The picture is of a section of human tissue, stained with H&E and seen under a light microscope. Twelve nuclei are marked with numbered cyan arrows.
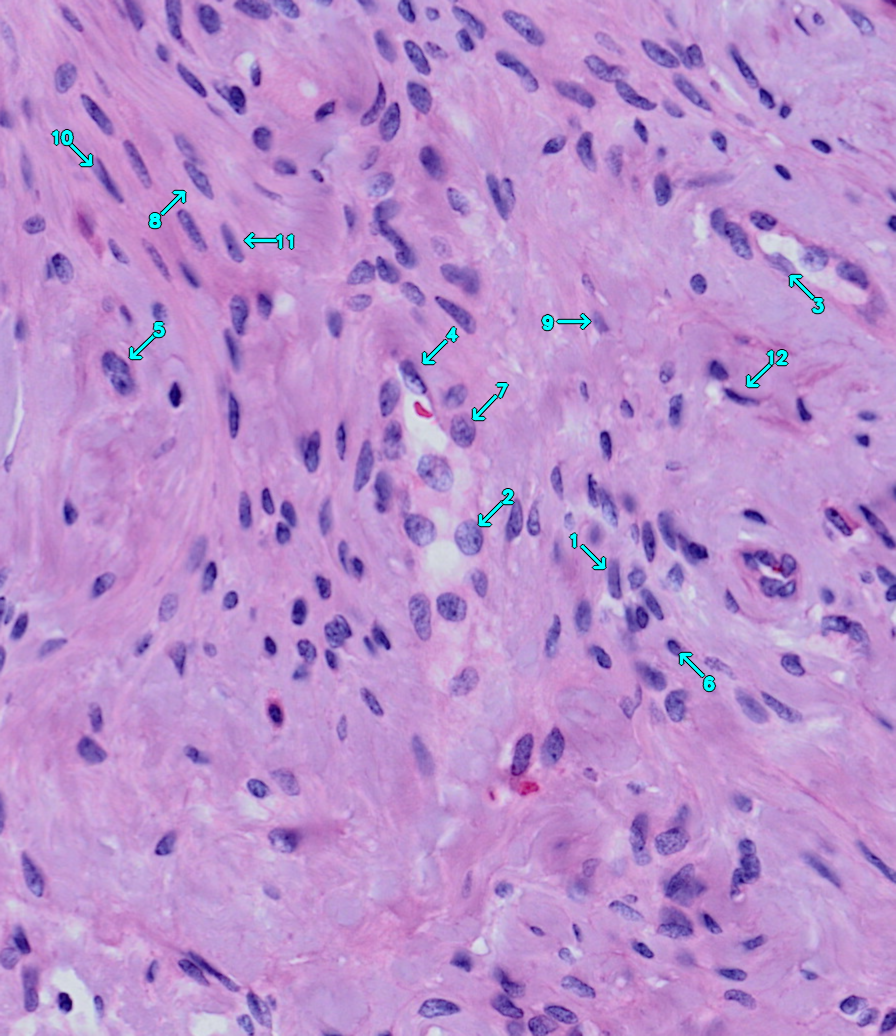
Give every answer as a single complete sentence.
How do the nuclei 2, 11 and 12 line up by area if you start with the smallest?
The order from the smallest nucleus to the largest is 12, 11, 2.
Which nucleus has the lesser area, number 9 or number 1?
Nucleus 9 covers less area, with nucleus 1 about 2.5 times as large.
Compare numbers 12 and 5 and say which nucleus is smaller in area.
Nucleus 12 is the smaller one; nucleus 5 covers about 3 times its area.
